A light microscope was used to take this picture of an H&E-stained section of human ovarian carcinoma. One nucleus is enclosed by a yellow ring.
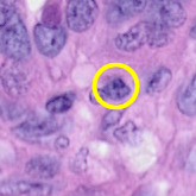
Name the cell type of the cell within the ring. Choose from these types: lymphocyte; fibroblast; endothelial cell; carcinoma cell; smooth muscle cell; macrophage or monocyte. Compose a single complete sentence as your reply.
As to its cell type, the cell within the ring is a lymphocyte.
